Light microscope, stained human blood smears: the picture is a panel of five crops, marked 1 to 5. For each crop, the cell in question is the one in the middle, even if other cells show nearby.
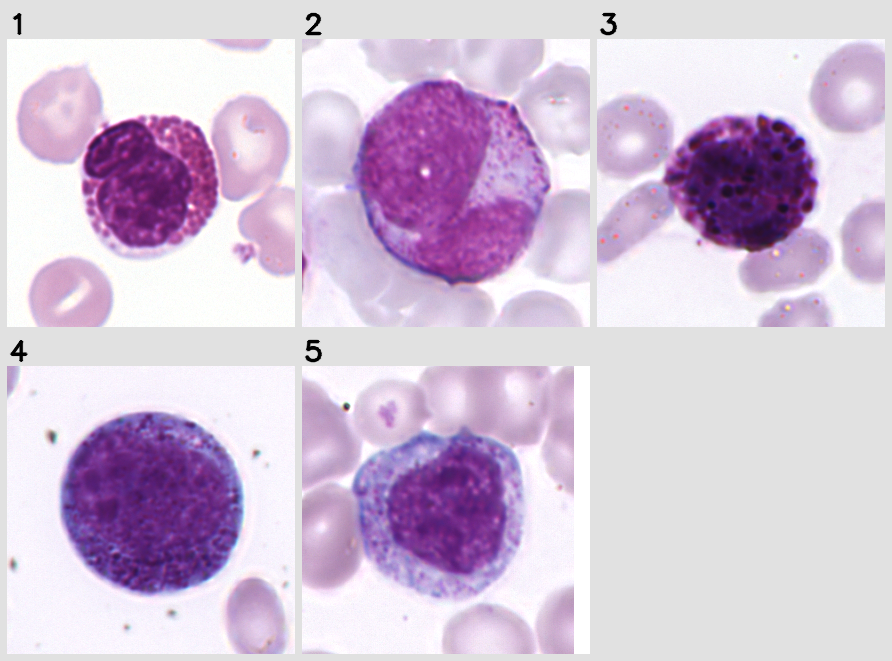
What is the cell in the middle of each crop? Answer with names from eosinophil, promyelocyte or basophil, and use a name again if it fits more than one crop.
1: eosinophil
2: promyelocyte
3: basophil
4: promyelocyte
5: promyelocyte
